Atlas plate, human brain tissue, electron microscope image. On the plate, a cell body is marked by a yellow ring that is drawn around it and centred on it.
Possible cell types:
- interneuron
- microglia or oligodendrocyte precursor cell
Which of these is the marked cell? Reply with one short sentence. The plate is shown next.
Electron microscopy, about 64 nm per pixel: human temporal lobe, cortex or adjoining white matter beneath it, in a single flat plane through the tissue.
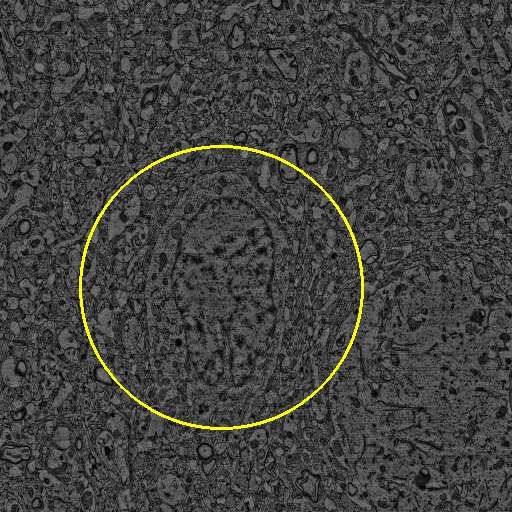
The marked cell is an interneuron.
